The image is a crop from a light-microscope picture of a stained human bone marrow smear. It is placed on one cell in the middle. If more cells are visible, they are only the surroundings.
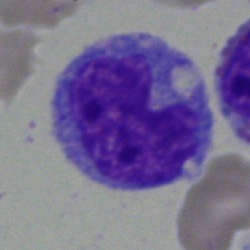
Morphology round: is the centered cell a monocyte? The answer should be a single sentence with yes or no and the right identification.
Yes, the cell that is in the middle is a monocyte.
